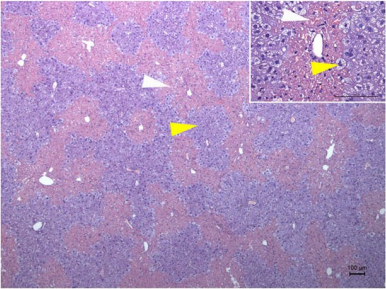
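Low-magnification H&E section of liver showing alternating pink eosinophilic and purple zones in a patchy pattern. Scattered white vessel lumens lie among them. The pink areas hold red cells among the hepatocytes. The purple zones consist of polygonal hepatocytes with round nuclei. In the inset, several hepatocytes have pale, cleared cytoplasm next to a vessel lumen.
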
